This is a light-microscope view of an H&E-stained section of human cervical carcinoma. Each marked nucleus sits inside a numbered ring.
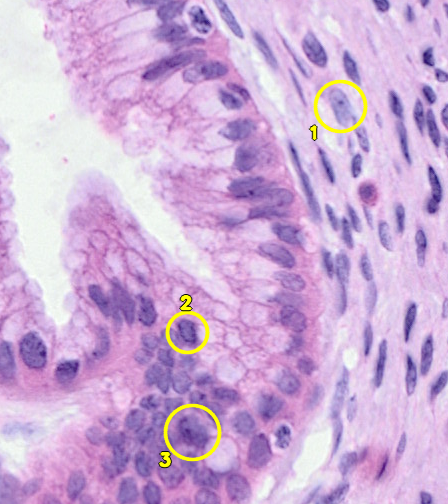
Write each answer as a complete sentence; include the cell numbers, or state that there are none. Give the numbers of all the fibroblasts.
Only the cell marked 1 is a fibroblast.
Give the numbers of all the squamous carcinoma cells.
There are no squamous carcinoma cells among the cells marked with numbers.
